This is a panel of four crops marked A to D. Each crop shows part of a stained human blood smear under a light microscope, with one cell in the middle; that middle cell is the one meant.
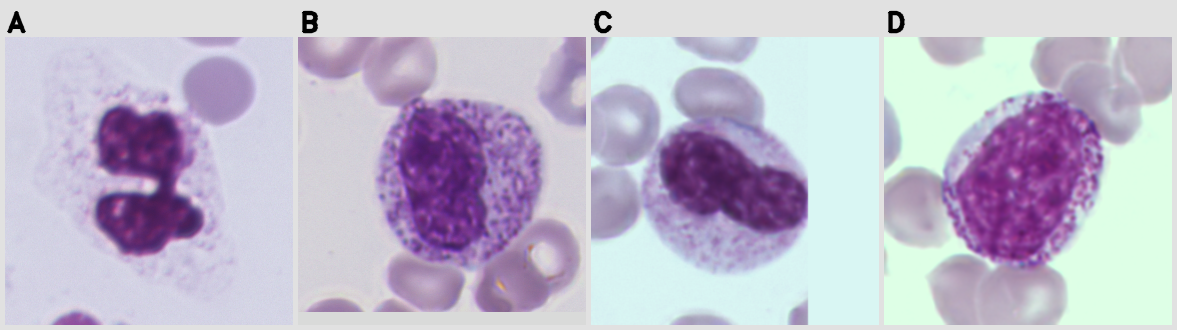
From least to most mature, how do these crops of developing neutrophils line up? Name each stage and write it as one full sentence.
Arranged by increasing maturity, the crops are crop D (a myelocyte), crop B (a metamyelocyte), crop C (a band neutrophil) and crop A (a segmented neutrophil).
